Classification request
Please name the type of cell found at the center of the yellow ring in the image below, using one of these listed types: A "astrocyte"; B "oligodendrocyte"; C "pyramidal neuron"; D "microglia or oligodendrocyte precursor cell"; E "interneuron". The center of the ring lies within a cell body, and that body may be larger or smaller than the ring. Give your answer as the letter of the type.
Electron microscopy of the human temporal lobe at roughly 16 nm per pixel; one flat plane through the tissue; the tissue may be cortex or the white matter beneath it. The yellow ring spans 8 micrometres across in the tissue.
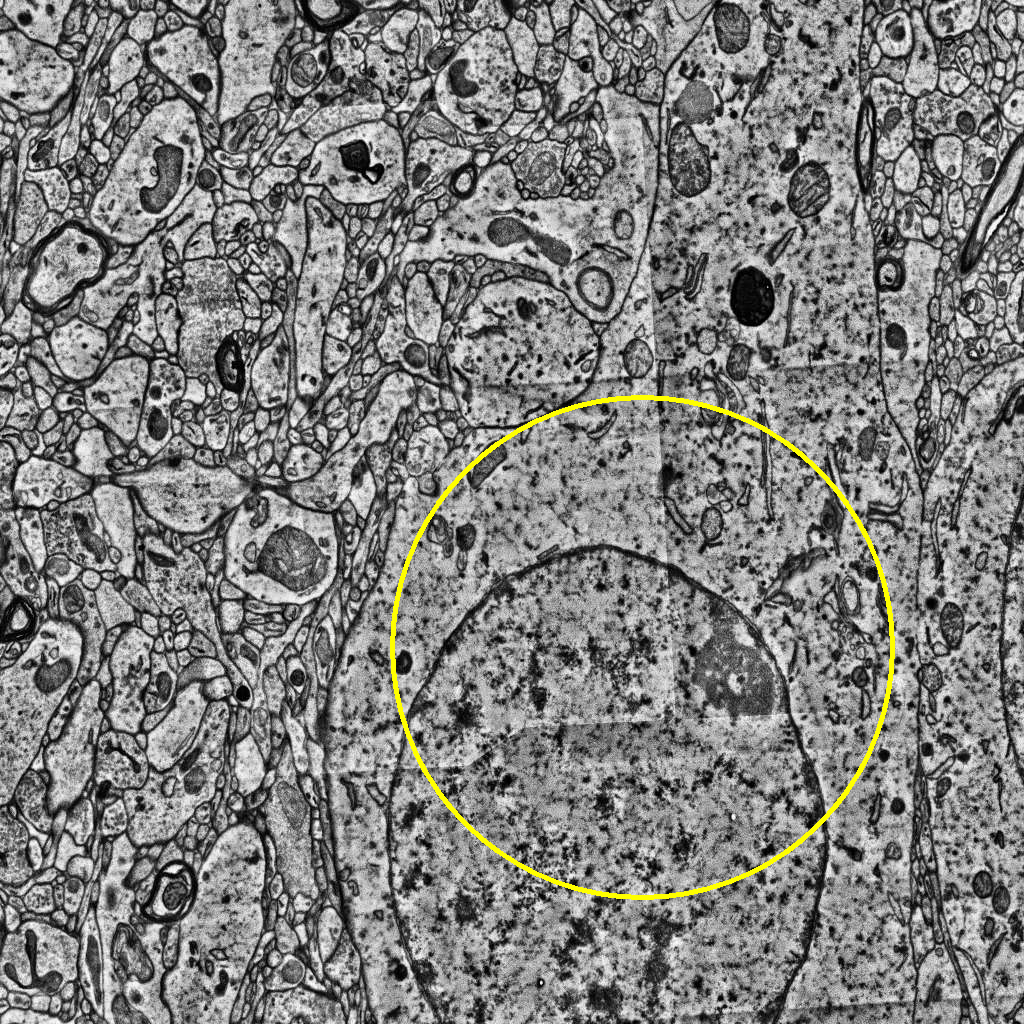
C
